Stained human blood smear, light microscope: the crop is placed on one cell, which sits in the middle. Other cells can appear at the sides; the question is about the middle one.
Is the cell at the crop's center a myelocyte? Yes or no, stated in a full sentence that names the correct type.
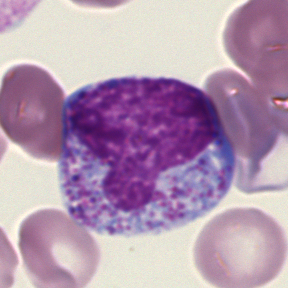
Yes, within this crop, the central cell is a myelocyte.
